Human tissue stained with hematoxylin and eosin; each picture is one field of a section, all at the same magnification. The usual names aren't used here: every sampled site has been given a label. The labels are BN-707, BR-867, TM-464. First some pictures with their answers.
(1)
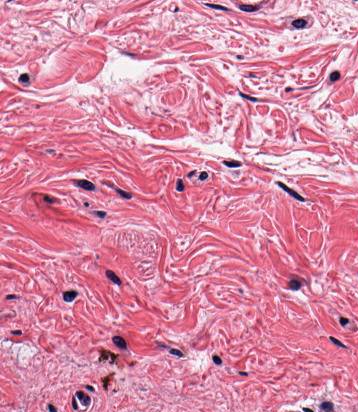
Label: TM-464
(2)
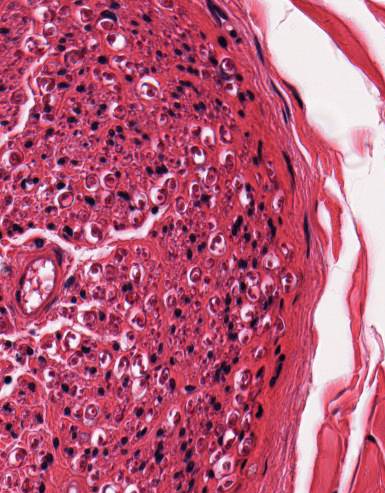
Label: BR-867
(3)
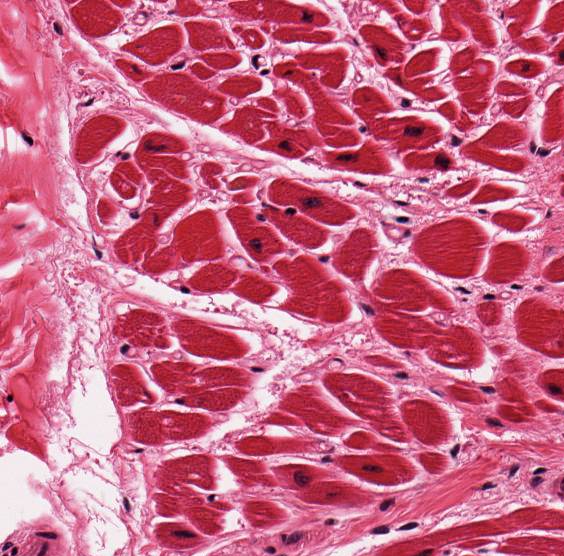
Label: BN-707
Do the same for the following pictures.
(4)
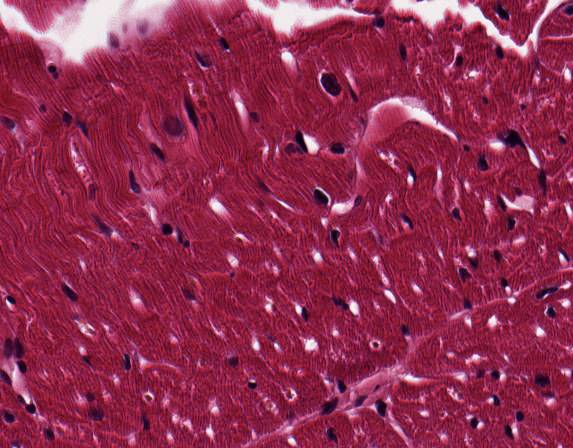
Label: BN-707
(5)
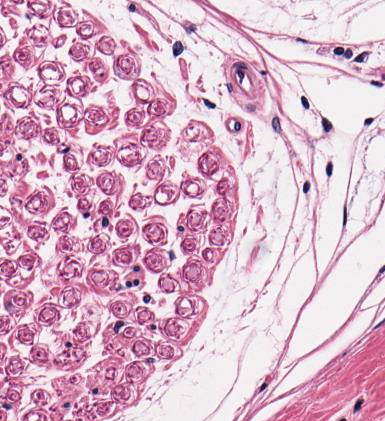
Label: BR-867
